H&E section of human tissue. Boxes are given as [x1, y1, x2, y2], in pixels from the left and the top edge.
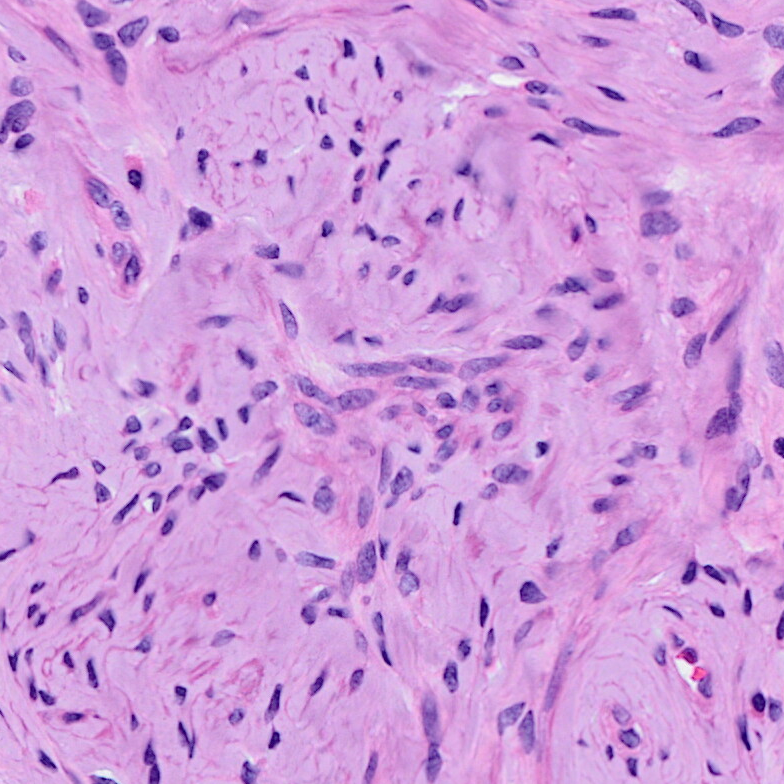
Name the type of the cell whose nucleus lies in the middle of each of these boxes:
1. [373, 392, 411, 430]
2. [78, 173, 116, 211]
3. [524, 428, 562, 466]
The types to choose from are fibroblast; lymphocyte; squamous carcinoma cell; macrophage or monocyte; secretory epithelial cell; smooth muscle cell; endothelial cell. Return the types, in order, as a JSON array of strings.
["smooth muscle cell", "endothelial cell", "lymphocyte"]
